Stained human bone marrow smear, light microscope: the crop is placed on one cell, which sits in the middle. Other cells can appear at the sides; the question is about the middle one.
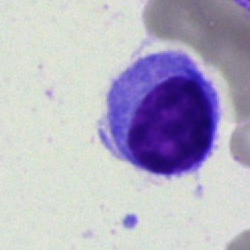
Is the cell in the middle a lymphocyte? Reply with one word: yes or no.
yes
